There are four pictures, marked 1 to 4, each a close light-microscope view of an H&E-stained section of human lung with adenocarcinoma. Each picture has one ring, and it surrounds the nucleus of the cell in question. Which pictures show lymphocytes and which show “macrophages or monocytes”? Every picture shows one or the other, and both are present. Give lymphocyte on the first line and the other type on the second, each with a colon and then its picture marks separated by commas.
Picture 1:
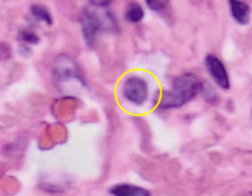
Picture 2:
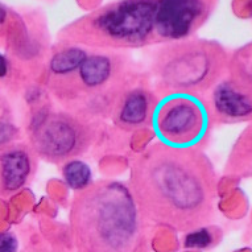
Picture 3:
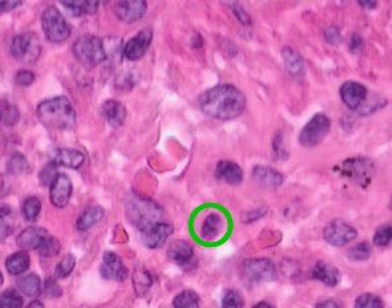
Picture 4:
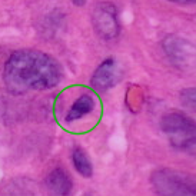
lymphocyte: 1, 3, 4
macrophage or monocyte: 2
